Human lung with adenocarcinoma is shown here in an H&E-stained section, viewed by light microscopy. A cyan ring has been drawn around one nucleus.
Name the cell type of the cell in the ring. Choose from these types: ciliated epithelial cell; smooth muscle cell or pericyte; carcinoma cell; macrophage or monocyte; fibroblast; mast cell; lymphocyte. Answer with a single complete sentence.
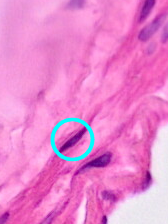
This is a smooth muscle cell or pericyte.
